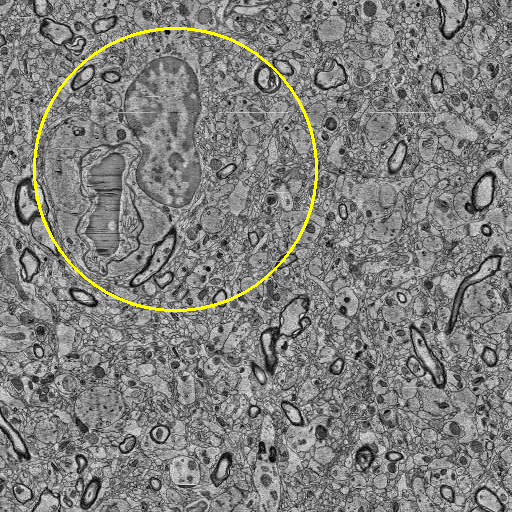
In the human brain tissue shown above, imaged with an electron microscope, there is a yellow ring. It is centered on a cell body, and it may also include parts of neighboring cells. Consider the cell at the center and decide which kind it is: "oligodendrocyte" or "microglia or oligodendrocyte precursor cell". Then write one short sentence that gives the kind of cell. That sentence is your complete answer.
This centered cell body is that of a microglial cell or oligodendrocyte precursor cell.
